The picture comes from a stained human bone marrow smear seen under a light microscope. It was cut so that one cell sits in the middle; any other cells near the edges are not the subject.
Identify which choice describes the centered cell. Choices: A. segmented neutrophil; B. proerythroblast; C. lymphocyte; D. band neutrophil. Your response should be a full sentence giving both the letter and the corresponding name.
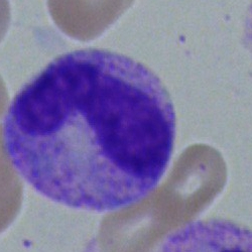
Option D, which names the central cell as a band neutrophil, is correct.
